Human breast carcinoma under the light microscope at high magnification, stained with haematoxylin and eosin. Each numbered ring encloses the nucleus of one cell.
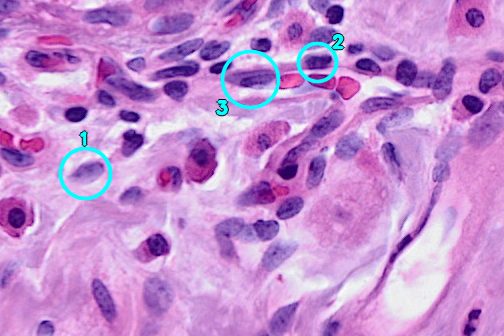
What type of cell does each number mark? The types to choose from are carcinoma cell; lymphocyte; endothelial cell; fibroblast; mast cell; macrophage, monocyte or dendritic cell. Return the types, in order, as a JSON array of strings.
["fibroblast", "endothelial cell", "endothelial cell"]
